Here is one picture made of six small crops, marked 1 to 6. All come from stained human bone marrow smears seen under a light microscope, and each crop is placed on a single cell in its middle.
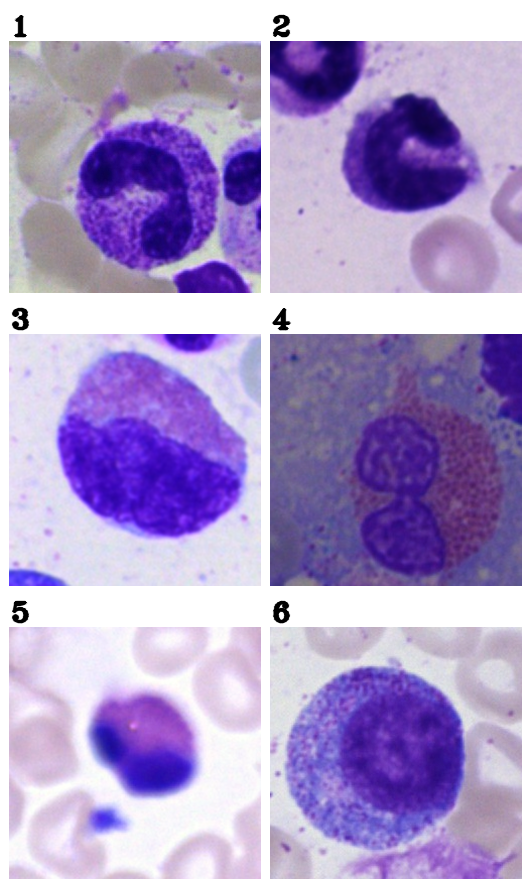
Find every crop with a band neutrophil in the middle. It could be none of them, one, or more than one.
2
